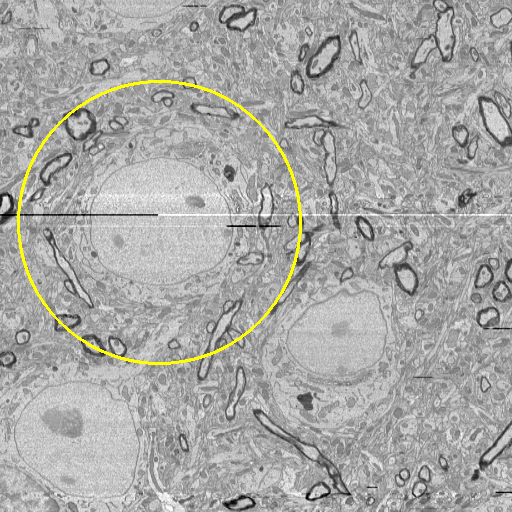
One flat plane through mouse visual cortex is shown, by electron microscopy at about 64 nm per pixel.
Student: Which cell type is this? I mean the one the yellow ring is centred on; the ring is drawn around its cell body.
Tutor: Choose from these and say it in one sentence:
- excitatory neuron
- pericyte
The cell the ring is centred on is an excitatory neuron.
